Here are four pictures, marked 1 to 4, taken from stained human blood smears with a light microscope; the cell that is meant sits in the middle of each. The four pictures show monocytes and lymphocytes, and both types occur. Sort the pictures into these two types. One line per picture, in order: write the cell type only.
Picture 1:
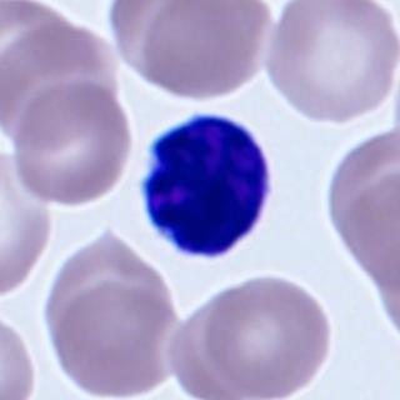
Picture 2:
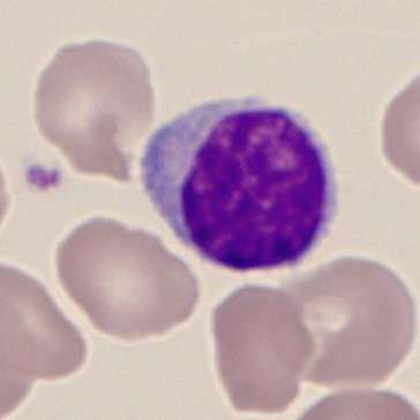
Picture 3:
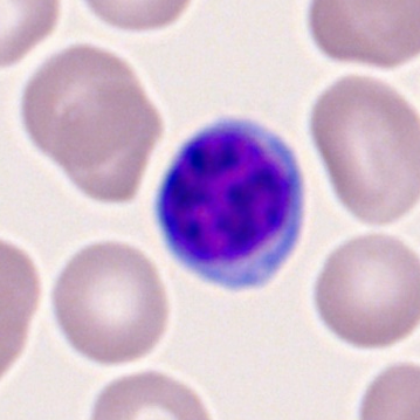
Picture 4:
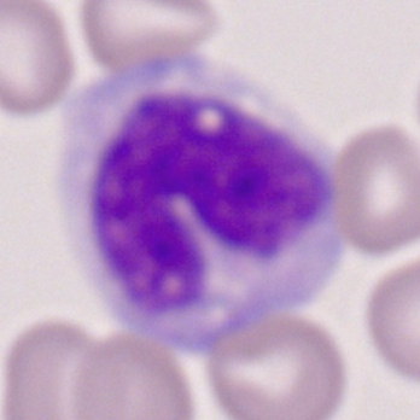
lymphocyte
lymphocyte
lymphocyte
monocyte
